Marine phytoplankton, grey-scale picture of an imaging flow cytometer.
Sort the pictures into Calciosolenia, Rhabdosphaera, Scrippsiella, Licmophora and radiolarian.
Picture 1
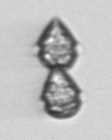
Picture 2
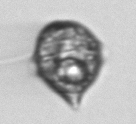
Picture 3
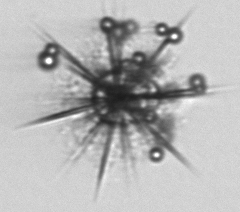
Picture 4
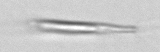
Scrippsiella: 1, 2
Radiolarians: 3
Calciosolenia: 4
